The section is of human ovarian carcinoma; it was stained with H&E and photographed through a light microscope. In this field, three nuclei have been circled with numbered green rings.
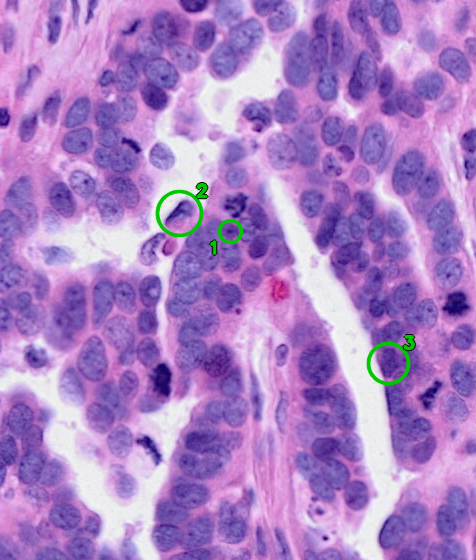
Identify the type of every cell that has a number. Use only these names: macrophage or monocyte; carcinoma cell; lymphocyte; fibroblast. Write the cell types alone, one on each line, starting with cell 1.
carcinoma cell
macrophage or monocyte
carcinoma cell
